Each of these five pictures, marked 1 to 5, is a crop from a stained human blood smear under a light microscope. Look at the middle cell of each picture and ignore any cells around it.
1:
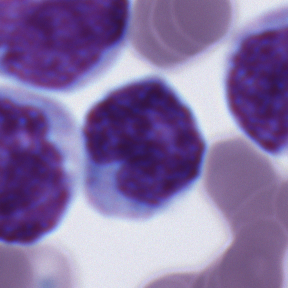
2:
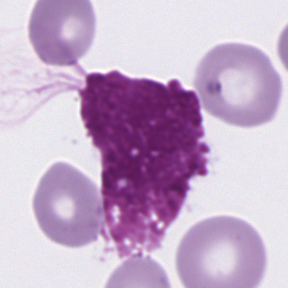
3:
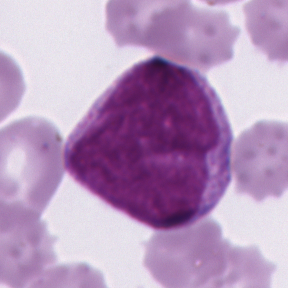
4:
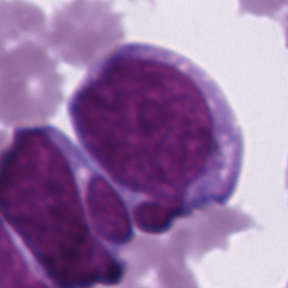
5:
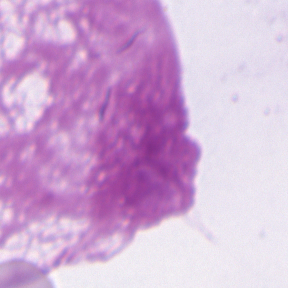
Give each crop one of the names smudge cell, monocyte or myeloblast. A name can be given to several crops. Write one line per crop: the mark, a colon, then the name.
1: monocyte
2: smudge cell
3: myeloblast
4: myeloblast
5: smudge cell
